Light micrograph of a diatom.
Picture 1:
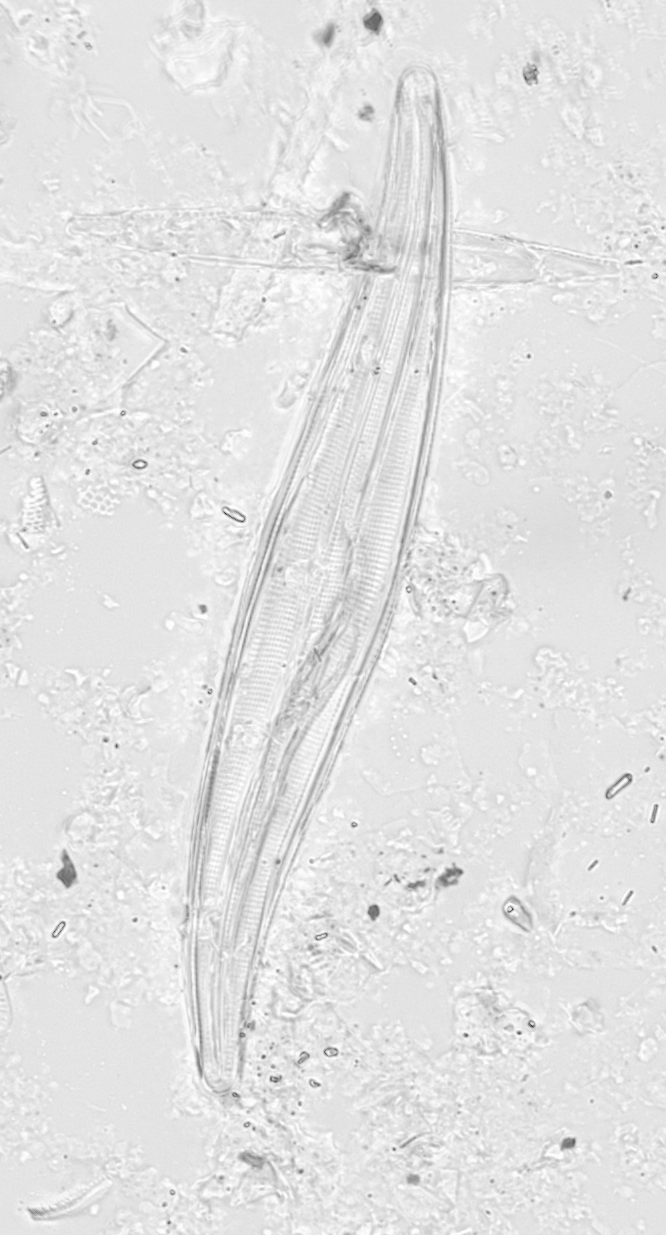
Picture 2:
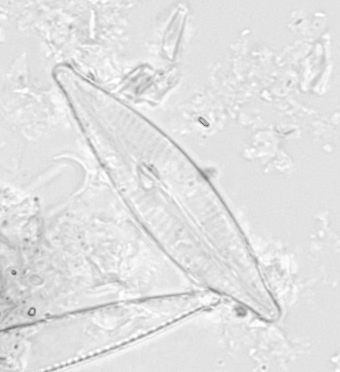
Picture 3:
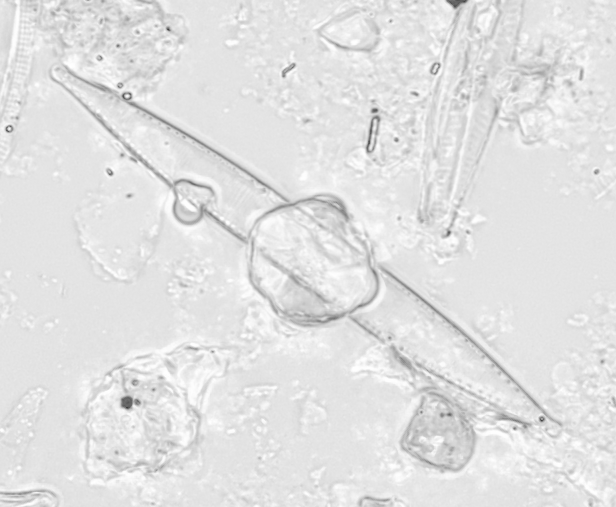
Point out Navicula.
That is picture 2.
